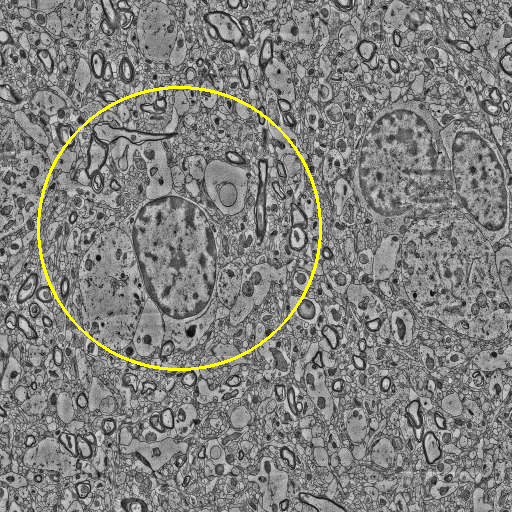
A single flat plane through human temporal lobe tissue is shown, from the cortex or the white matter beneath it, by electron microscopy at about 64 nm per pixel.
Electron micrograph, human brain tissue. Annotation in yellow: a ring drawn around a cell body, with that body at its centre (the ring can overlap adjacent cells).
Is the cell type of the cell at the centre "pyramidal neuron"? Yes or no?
No, it is of another type.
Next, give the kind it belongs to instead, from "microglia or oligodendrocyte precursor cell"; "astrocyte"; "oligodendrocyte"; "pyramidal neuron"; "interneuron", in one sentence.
As it turns out, the cell at the ring centre is a microglial cell or oligodendrocyte precursor cell.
